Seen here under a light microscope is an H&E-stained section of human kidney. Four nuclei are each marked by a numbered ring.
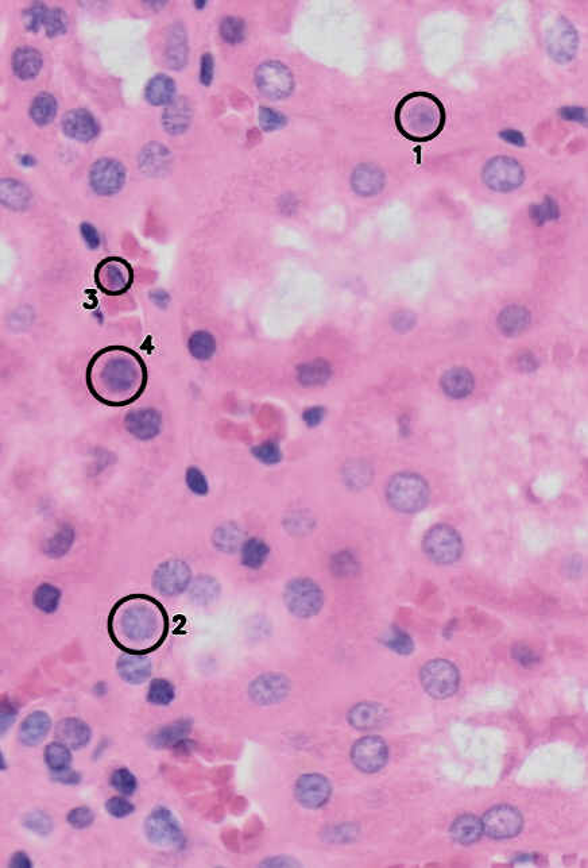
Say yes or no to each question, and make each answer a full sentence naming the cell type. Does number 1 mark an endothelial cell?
No, it's not an endothelial cell at number 1; that cell is a proximal tubule cell.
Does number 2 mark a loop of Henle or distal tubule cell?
Yes, the cell distinguished by number 2 is a loop of Henle or distal tubule cell.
